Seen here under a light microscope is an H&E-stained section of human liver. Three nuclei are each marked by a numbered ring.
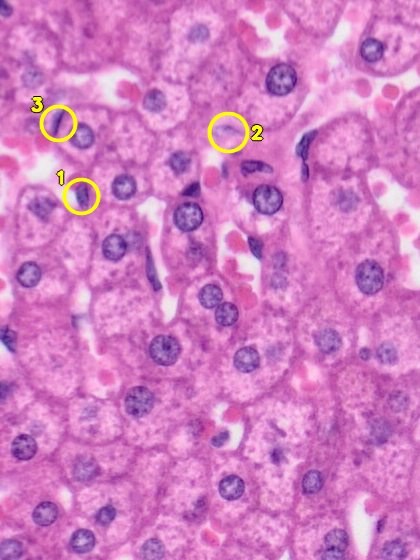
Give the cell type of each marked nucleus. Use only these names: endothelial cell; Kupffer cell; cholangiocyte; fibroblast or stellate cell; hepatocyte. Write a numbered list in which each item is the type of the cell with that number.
1. endothelial cell
2. Kupffer cell
3. fibroblast or stellate cell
